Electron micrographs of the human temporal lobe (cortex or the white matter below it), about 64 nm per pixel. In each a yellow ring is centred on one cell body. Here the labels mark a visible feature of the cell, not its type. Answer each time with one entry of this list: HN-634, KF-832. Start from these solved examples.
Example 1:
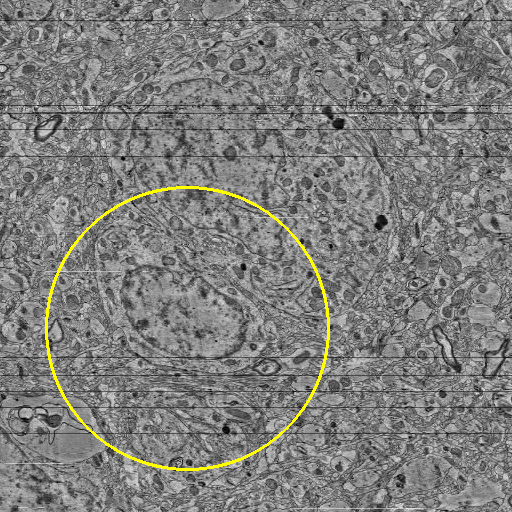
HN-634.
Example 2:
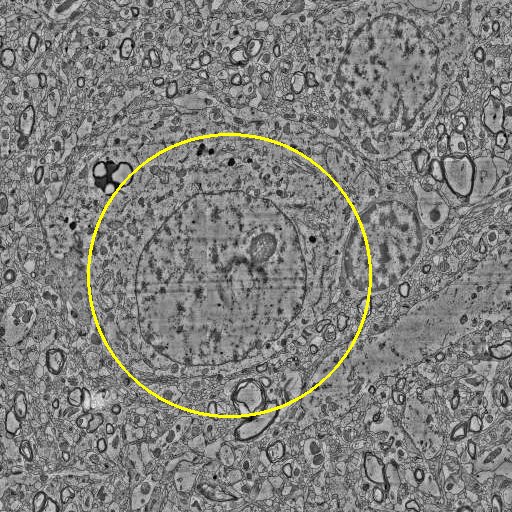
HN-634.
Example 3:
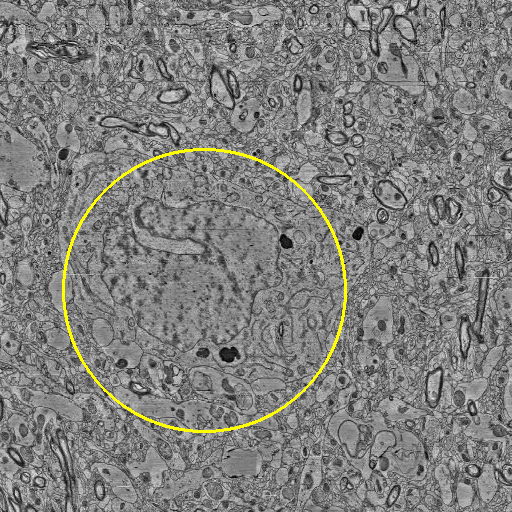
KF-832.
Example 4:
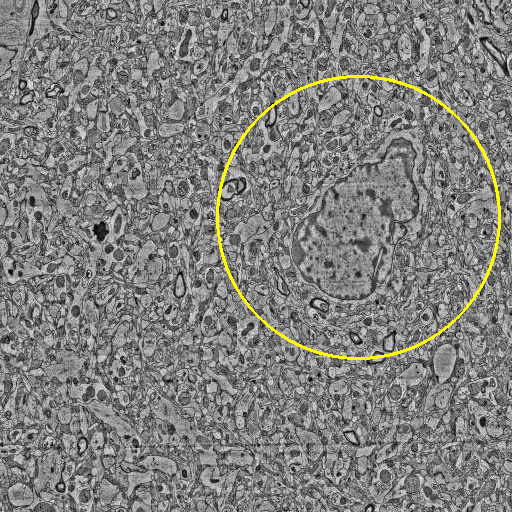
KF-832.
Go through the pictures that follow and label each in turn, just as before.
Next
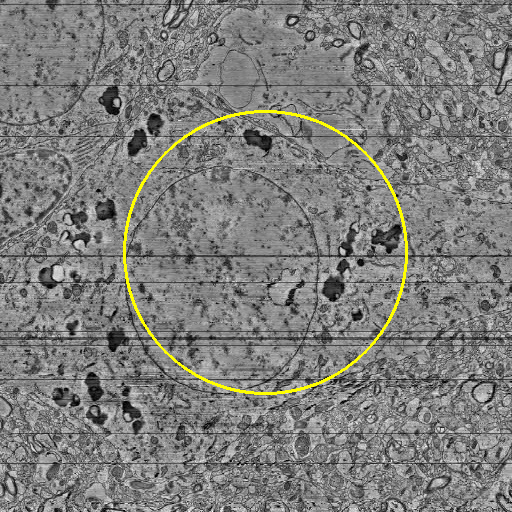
HN-634.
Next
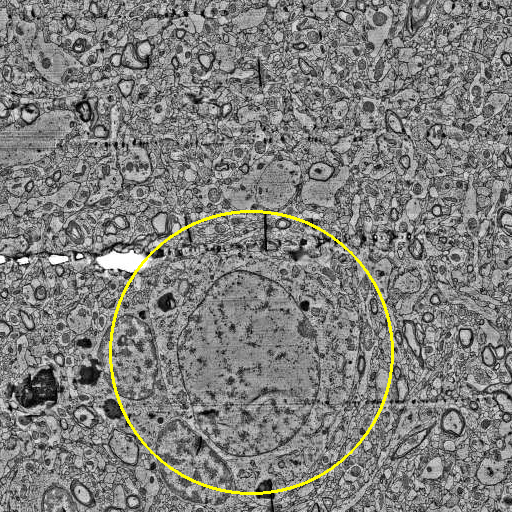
KF-832.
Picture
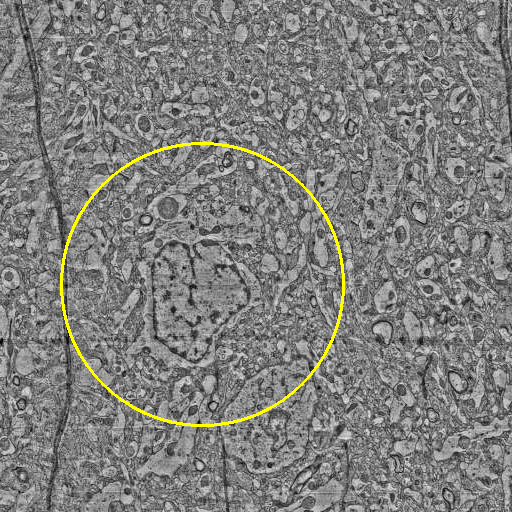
KF-832.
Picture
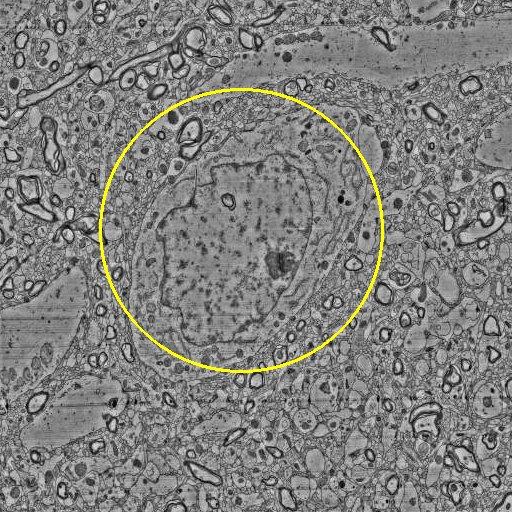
KF-832.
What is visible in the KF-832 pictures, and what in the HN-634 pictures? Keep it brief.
KF-832, deeply folded or indented nuclear envelopes; HN-634, smooth nuclear envelopes without deep folds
